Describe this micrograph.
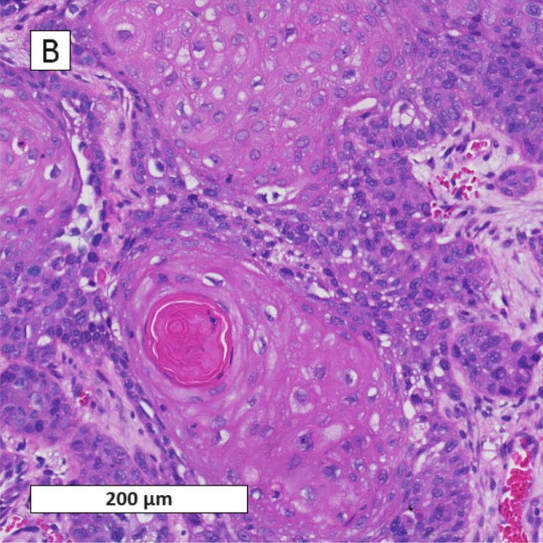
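Tumor tissue with broad nests of cells that are small and dark-staining at the periphery and become larger and paler, with more pink cytoplasm, towards the centre. One nest holds a concentric, whorled, deeply pink laminated mass at its centre, and thin stromal strands with red blood cells in small vessels run between the nests.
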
